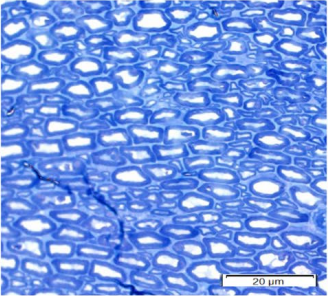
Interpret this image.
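Cross-section of peripheral nerve showing densely packed myelinated axons. Each axon appears as a pale, oval to elongate core surrounded by a dark blue rim of myelin.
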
